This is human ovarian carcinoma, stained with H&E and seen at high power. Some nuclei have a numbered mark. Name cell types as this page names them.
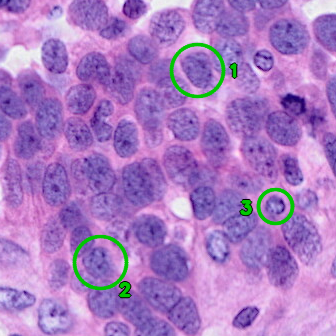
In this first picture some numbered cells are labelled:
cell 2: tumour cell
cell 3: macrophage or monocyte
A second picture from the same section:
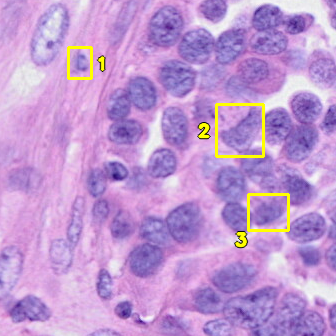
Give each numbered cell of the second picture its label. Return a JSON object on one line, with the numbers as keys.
{"1": "macrophage or monocyte", "2": "tumour cell", "3": "tumour cell"}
